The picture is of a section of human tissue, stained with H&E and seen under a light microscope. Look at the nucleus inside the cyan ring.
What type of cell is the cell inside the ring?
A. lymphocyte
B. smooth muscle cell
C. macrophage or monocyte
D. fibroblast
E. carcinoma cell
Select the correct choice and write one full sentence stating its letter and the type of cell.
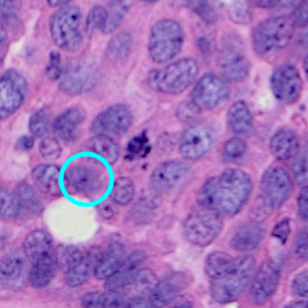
Option E describes the cell inside the ring accurately as a carcinoma cell.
